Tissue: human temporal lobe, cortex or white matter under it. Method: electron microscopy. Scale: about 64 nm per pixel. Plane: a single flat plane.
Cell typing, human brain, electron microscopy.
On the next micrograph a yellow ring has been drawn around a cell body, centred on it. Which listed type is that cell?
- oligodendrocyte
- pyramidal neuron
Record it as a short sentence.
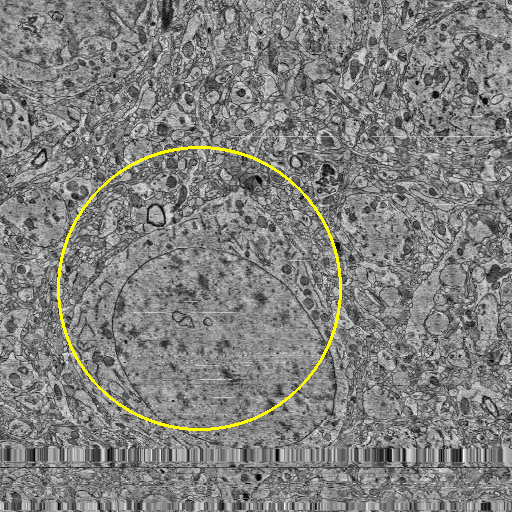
The cell body in the ring's centre belongs to a pyramidal neuron.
